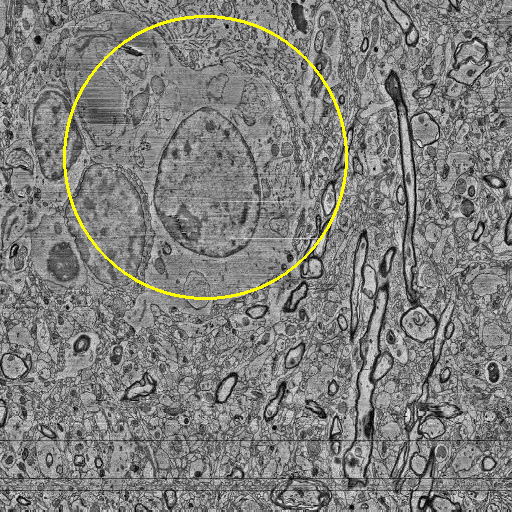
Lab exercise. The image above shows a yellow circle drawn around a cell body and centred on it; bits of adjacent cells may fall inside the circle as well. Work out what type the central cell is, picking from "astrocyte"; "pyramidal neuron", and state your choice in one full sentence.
In the image above, the cell at the centre of the yellow circle is an astrocyte.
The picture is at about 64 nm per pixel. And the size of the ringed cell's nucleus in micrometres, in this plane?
About 10 micrometres by about 7 micrometres in this plane.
